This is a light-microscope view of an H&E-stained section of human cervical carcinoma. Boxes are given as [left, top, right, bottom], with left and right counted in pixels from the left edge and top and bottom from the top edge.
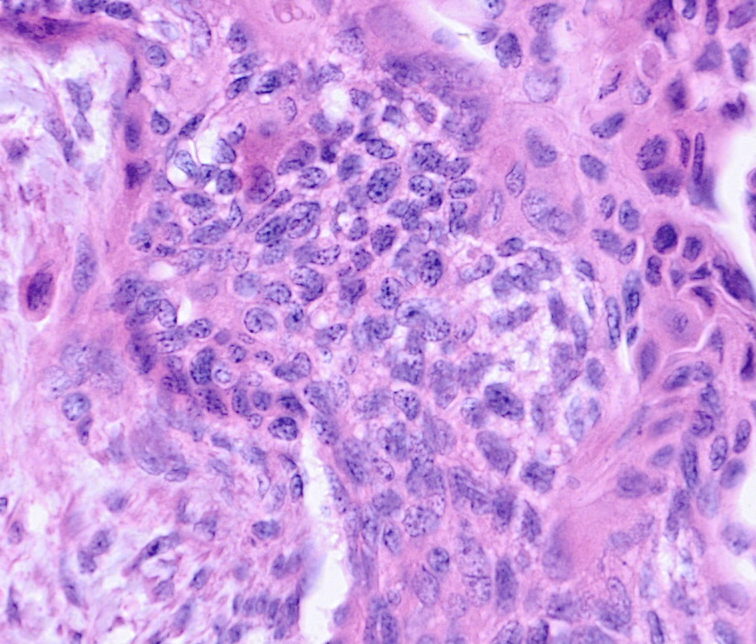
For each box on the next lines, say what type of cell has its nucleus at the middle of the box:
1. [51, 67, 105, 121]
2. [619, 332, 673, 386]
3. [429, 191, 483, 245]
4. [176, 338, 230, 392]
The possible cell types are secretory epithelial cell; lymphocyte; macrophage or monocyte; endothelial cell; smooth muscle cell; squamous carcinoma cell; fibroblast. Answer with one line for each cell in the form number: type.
1: fibroblast
2: squamous carcinoma cell
3: squamous carcinoma cell
4: squamous carcinoma cell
